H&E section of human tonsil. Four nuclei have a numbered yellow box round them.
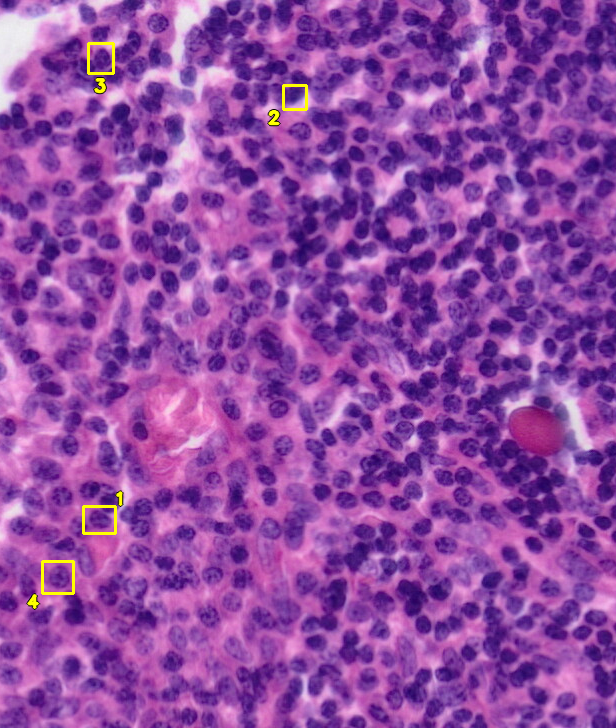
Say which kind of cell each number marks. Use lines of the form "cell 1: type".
cell 1: plasma cell
cell 2: small lymphocyte
cell 3: small lymphocyte
cell 4: plasma cell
